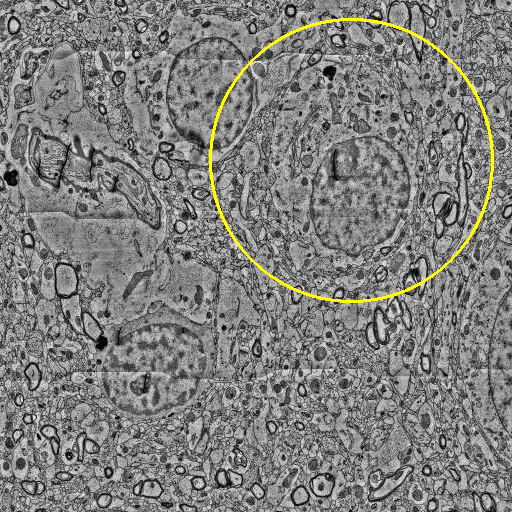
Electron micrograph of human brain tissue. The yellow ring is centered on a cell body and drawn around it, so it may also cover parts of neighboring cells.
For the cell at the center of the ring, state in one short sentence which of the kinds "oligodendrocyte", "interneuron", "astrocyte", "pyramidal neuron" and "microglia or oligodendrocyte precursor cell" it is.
This ring is centered on an interneuron.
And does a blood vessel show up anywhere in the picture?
Yes, a blood vessel is present in this picture.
